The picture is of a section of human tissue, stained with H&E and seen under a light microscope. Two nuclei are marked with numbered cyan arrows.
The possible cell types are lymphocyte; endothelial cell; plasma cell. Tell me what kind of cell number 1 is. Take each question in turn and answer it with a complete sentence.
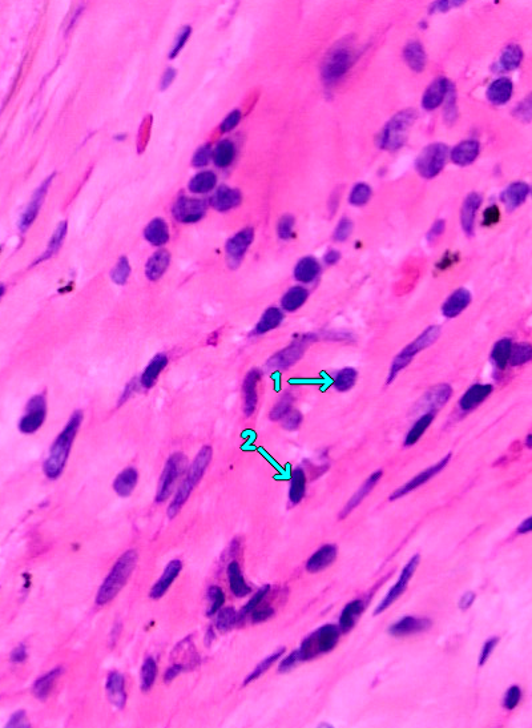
The cell pointed out by number 1 is a lymphocyte.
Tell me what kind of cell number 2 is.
In the tissue shown, cell 2 is a plasma cell.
